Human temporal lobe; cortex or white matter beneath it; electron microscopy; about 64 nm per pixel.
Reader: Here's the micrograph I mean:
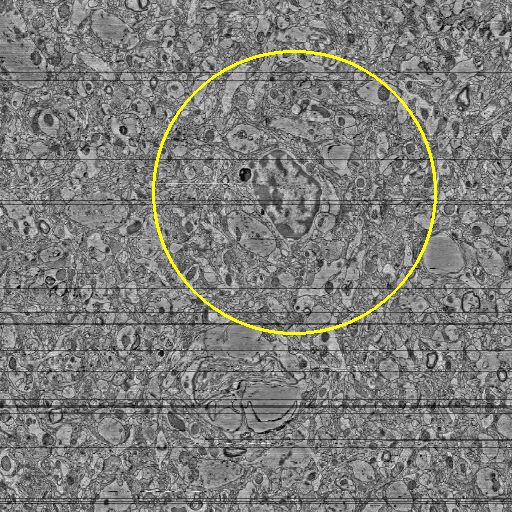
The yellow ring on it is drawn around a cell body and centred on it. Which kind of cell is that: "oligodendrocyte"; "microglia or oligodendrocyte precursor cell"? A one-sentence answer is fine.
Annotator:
The ring is centred on a microglial cell or oligodendrocyte precursor cell.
